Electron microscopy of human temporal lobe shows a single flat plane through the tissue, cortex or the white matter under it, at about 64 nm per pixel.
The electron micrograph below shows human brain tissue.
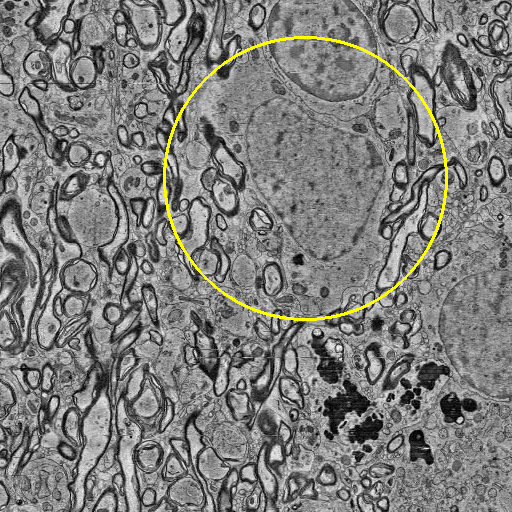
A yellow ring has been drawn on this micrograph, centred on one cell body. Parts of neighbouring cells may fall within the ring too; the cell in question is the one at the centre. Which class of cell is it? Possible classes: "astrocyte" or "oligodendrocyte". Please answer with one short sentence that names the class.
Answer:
In the centre of the ring sits an astrocyte.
